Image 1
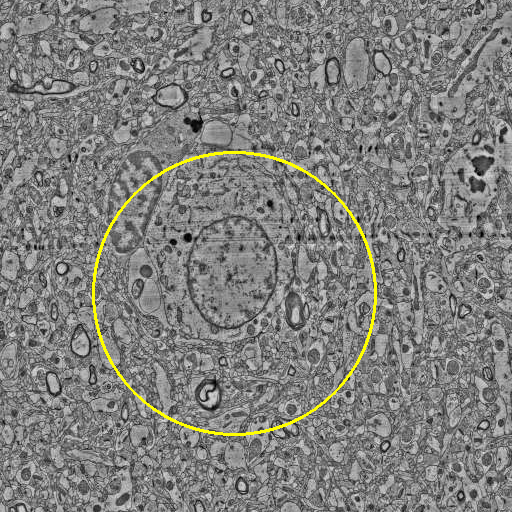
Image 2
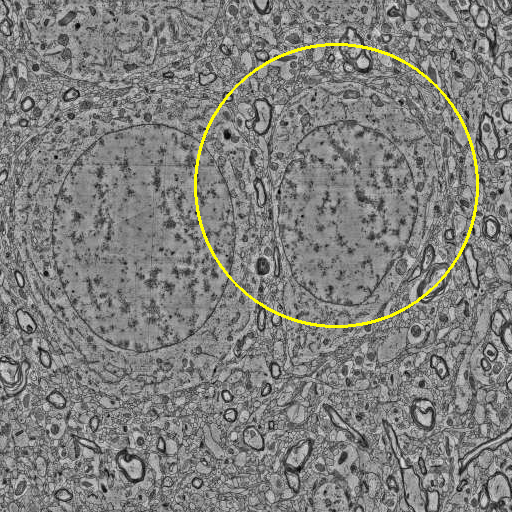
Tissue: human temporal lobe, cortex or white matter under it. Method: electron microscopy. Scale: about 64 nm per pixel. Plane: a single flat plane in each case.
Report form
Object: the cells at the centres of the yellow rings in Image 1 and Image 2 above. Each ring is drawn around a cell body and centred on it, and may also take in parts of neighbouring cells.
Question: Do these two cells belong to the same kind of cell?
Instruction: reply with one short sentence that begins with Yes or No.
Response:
Yes, both belong to the same kind of cell.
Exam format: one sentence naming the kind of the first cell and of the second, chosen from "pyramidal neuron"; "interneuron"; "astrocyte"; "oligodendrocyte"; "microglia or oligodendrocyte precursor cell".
The ring centre holds a pyramidal neuron in each of the two pictures.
